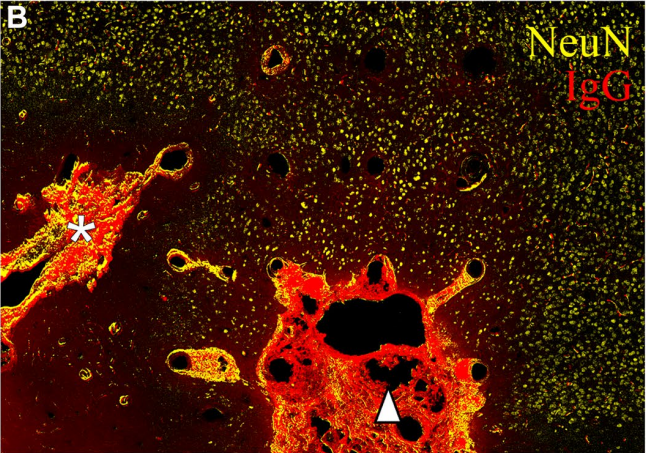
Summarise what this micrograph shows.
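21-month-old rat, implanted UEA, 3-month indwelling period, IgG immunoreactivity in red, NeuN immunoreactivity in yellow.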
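This section of cortex shows a field of densely scattered small yellow neuronal nuclei over a dark red background. Near the cavities the red background is stronger and the neuronal nuclei are sparse, while in the upper and right parts of the field the nuclei are evenly packed and the red is faint.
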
